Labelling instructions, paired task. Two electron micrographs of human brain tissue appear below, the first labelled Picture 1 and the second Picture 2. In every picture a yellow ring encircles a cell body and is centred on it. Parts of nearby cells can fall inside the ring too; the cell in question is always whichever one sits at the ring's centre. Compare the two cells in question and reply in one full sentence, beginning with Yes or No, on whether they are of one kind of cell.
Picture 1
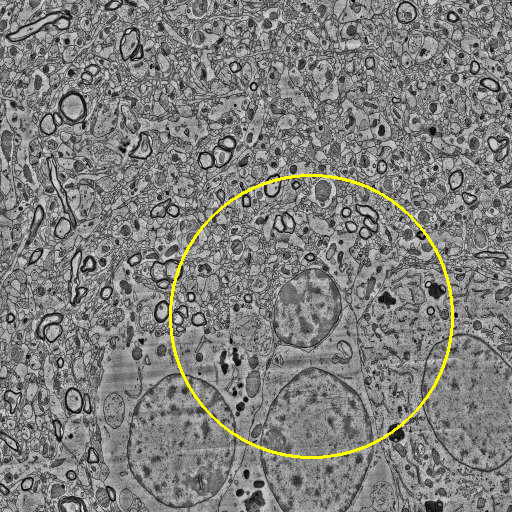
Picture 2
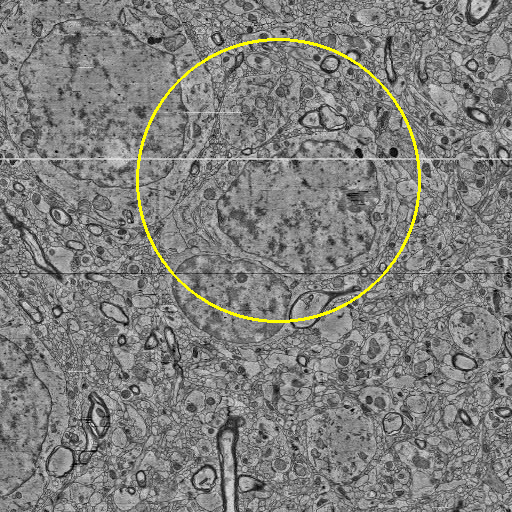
No, the two cells at the ring centres in Picture 1 and Picture 2 are of two kinds.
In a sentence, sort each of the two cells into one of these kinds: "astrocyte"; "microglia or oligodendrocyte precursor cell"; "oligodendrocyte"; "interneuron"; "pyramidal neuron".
The first of the two cells is a microglial cell or oligodendrocyte precursor cell, and the second is an interneuron.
